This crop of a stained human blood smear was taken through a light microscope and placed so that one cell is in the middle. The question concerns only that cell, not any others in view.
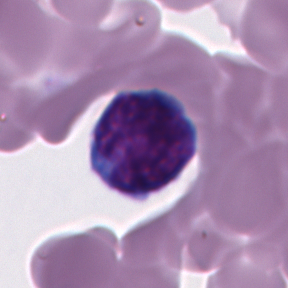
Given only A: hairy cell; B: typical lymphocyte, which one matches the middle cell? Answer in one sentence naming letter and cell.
Option B holds up: the cell in the middle is a typical lymphocyte.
